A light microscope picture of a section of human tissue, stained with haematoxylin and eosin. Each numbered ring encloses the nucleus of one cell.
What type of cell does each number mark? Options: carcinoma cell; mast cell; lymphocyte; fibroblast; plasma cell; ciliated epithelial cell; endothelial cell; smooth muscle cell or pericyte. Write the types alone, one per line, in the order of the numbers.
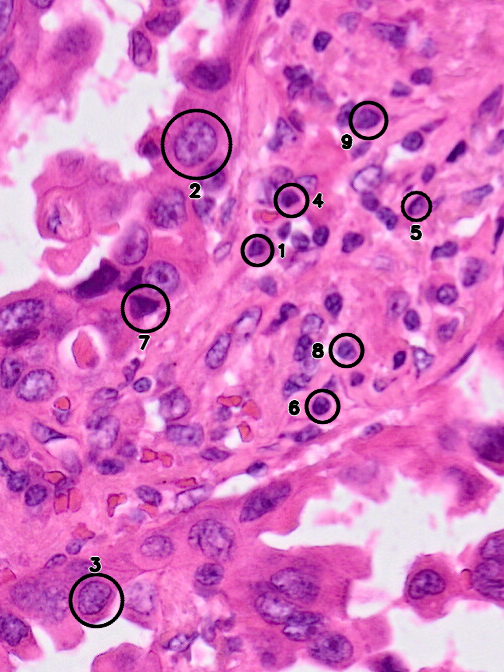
plasma cell
carcinoma cell
carcinoma cell
lymphocyte
plasma cell
lymphocyte
carcinoma cell
lymphocyte
plasma cell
